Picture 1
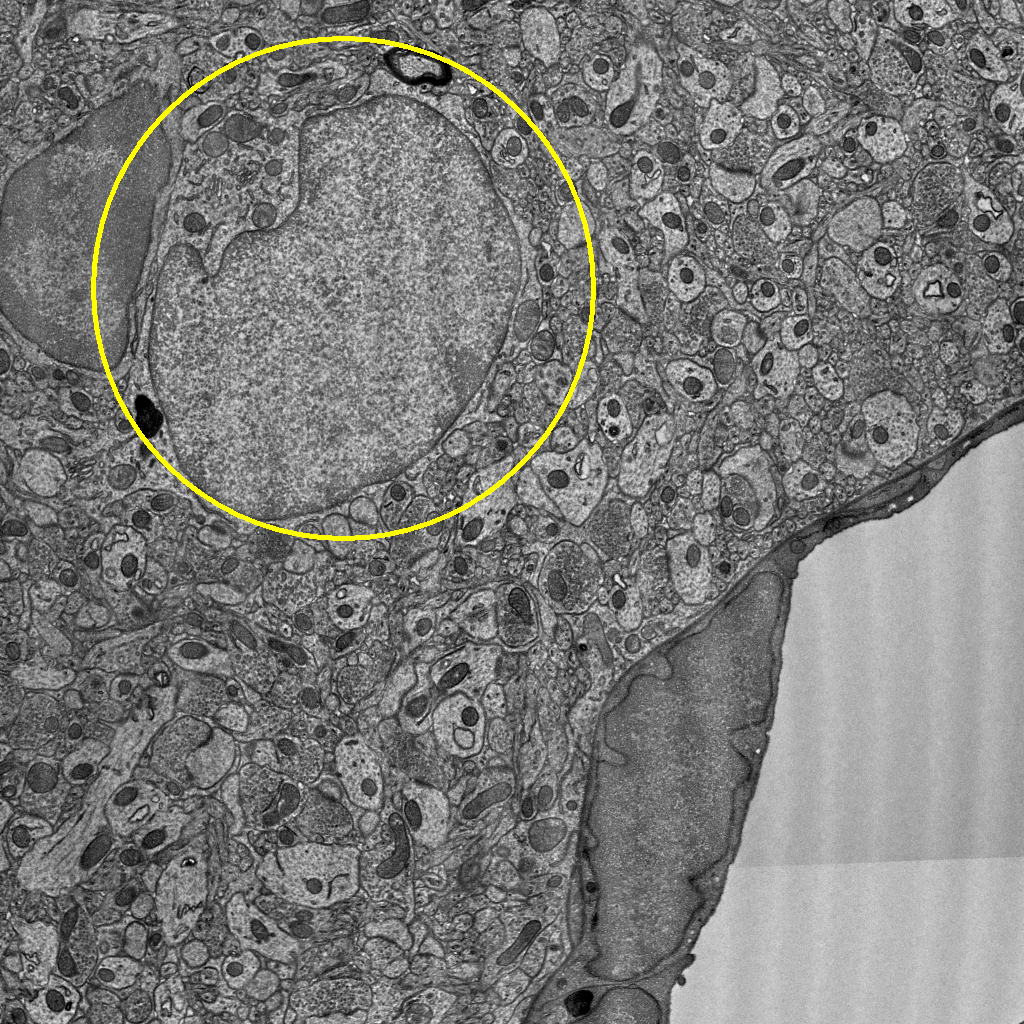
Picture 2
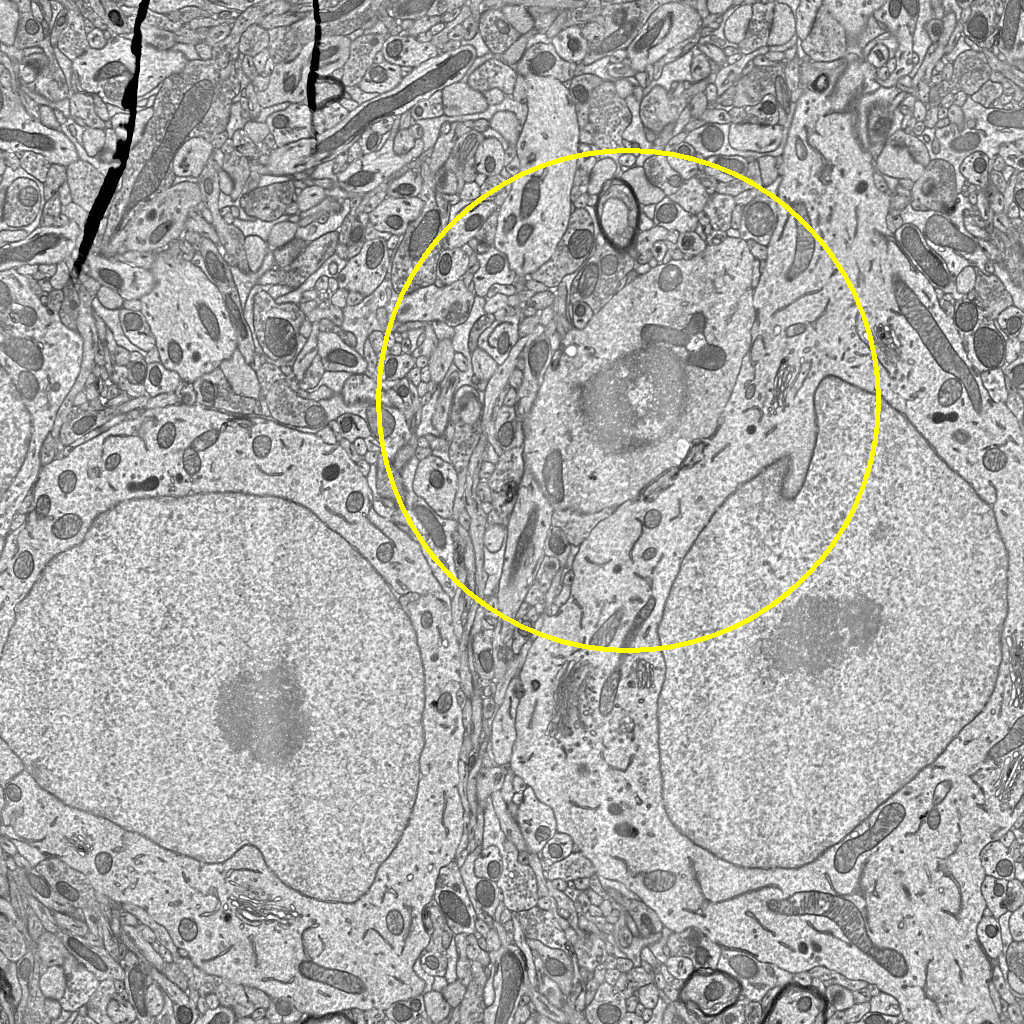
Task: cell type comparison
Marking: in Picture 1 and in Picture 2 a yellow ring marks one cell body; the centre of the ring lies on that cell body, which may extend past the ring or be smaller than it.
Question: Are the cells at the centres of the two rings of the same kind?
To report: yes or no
no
